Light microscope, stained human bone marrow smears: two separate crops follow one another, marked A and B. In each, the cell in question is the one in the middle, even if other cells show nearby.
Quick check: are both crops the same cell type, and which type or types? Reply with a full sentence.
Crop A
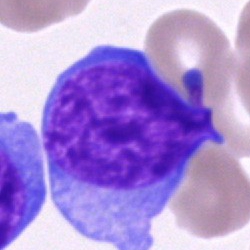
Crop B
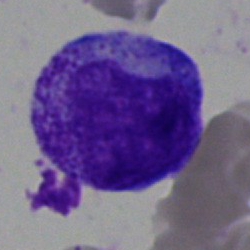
No, crop A captures a blast, and crop B captures a myelocyte.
